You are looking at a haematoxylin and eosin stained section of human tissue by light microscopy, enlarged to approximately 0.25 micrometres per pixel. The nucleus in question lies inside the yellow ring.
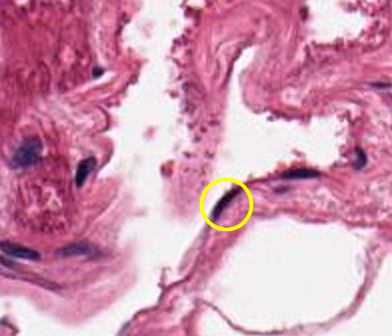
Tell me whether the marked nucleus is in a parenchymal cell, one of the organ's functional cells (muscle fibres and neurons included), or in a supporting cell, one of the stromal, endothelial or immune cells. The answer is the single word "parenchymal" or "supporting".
supporting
